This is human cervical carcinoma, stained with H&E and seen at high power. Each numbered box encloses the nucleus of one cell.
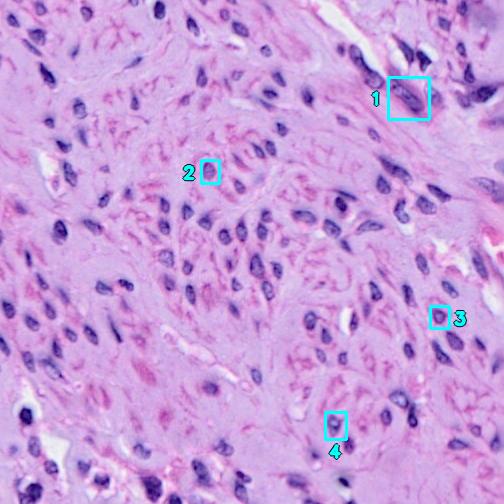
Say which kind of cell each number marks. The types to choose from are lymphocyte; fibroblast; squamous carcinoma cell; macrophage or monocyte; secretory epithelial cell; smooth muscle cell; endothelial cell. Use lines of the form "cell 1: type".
cell 1: endothelial cell
cell 2: smooth muscle cell
cell 3: smooth muscle cell
cell 4: smooth muscle cell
